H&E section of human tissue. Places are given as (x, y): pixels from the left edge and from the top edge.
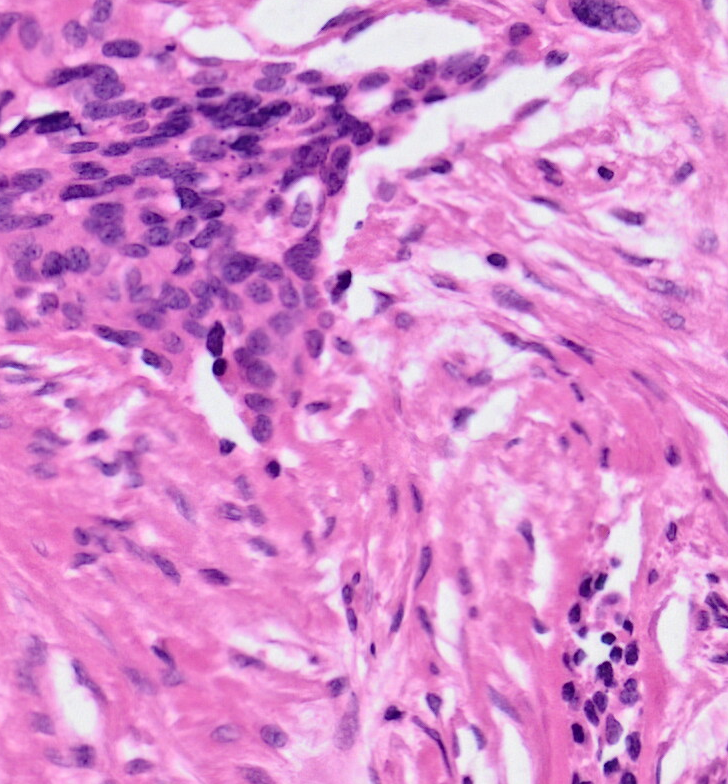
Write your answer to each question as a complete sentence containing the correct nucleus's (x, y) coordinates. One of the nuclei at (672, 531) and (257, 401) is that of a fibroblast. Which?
At (672, 531) lies the nucleus that belongs to a fibroblast.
